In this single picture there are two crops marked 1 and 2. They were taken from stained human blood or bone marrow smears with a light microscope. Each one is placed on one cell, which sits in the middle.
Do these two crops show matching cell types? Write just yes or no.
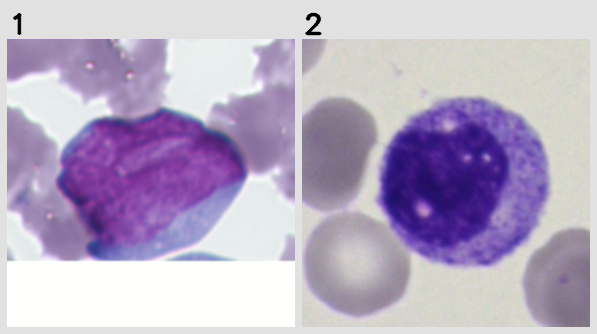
no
